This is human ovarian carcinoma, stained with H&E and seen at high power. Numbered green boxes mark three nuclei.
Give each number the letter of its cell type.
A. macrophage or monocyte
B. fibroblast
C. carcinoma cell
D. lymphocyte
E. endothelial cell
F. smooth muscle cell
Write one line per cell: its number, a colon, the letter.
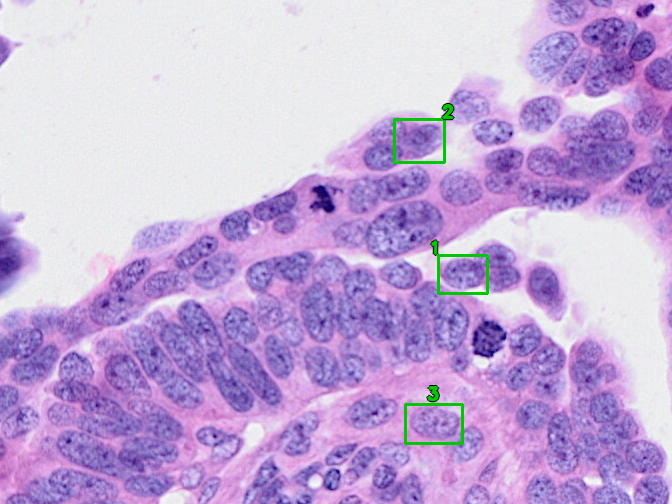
1: C
2: C
3: B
